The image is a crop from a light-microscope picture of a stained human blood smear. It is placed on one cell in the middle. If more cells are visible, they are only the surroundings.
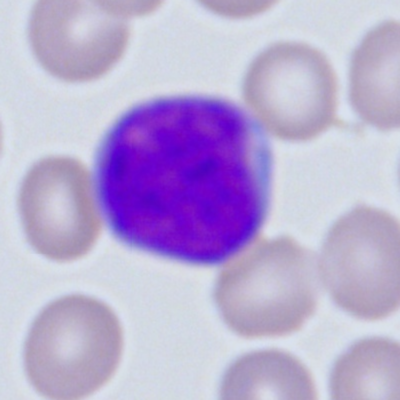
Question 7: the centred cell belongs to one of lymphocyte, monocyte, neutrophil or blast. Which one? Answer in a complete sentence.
The middle cell in this particular crop is a blast.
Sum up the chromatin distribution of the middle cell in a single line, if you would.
The nucleus shows chromatin that is coarsely clumped.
